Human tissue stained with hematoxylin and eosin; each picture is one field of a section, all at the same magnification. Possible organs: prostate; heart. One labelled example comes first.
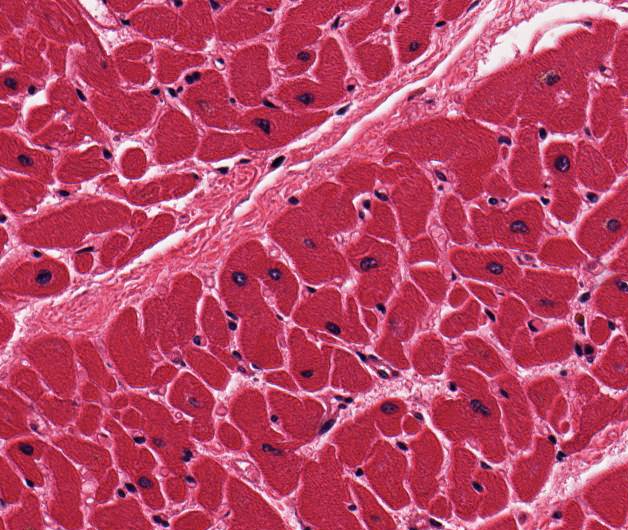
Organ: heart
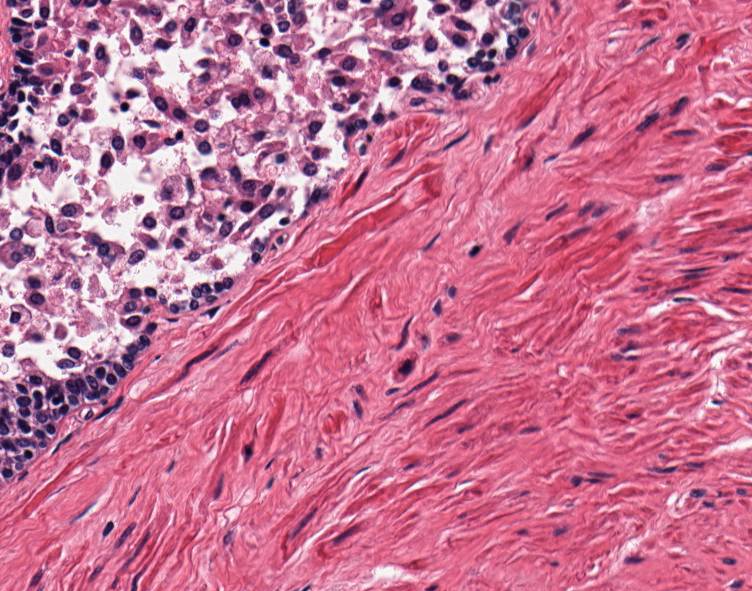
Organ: prostate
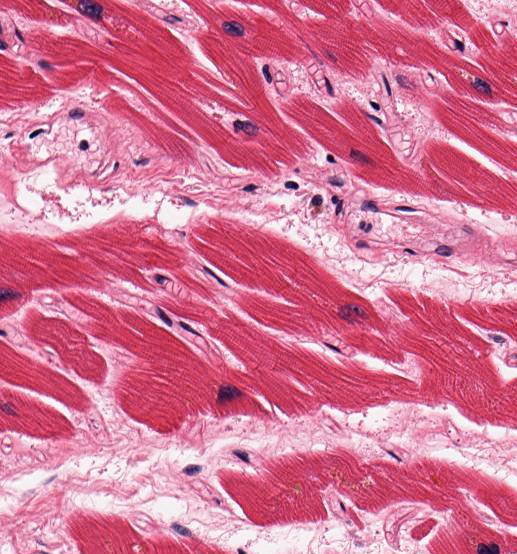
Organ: heart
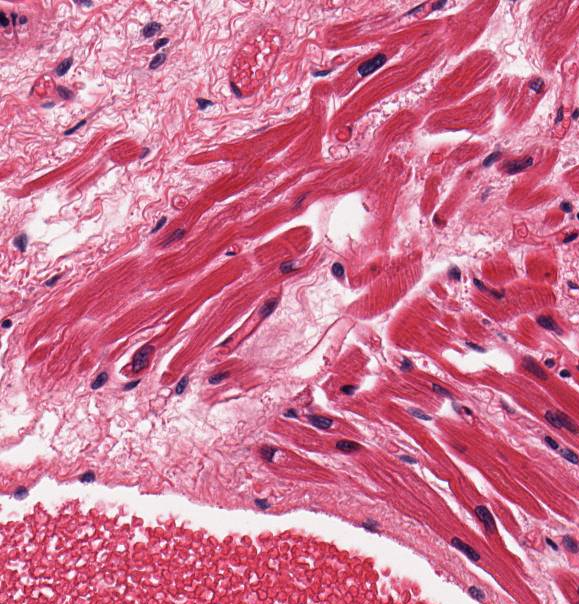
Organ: heart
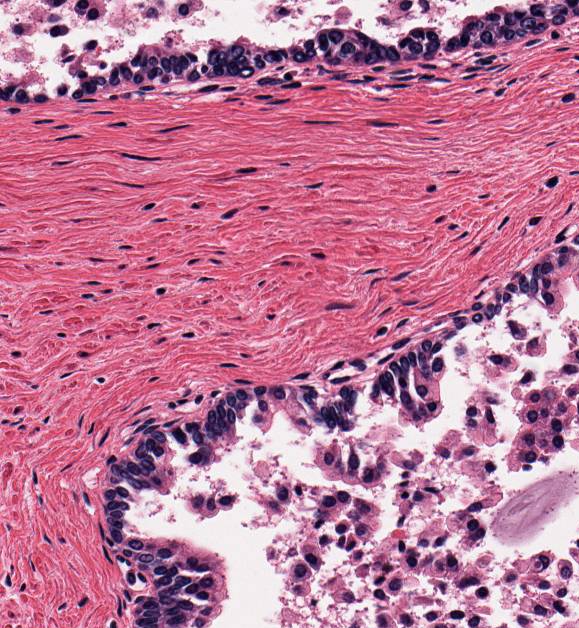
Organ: prostate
